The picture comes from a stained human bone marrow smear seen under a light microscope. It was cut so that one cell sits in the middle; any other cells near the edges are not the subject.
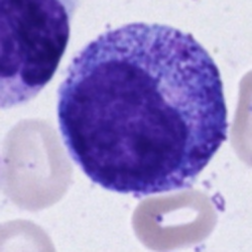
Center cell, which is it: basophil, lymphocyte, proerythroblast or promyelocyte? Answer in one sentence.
In the crop, the cell of interest at the centre is a promyelocyte.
